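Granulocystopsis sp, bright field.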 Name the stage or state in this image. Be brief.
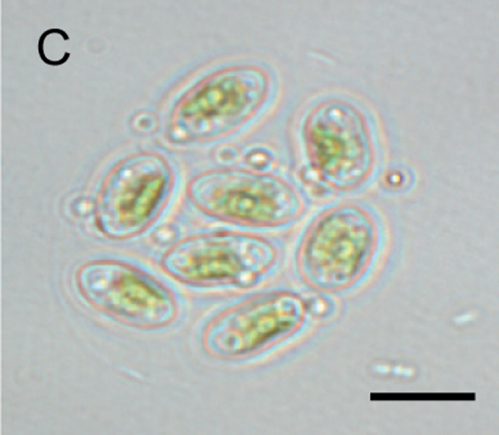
Colonia with 8 cells.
